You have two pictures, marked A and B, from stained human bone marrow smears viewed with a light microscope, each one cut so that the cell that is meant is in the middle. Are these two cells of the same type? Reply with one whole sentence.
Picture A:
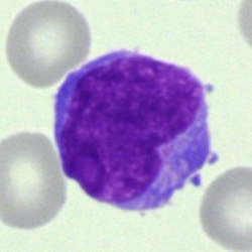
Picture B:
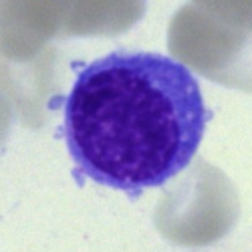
Yes, the two pictures both show blasts.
